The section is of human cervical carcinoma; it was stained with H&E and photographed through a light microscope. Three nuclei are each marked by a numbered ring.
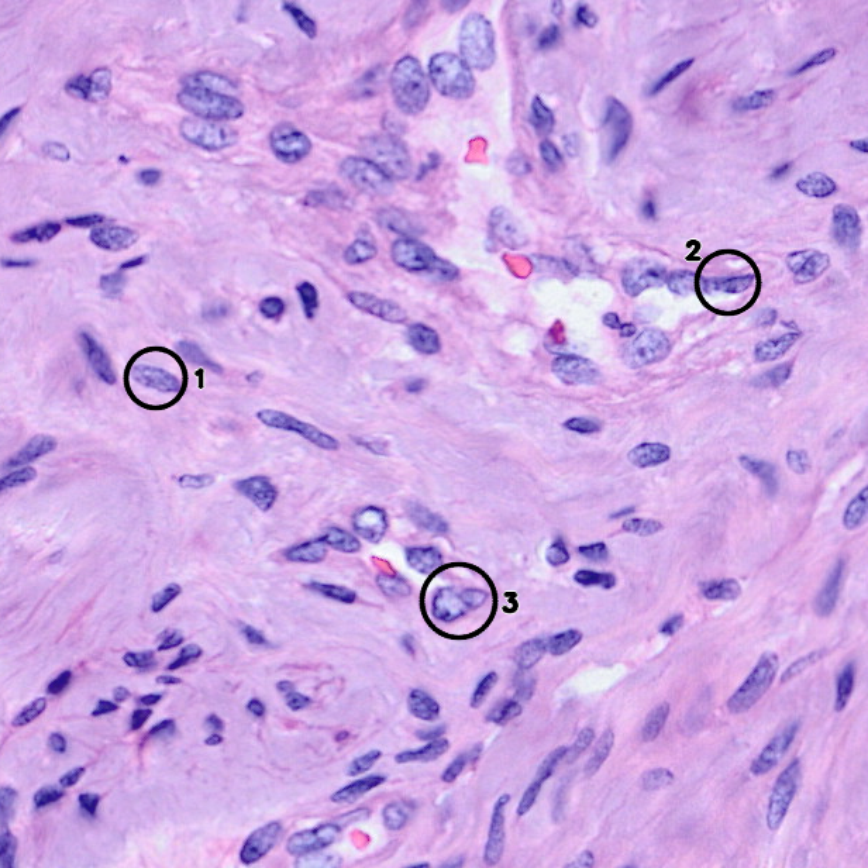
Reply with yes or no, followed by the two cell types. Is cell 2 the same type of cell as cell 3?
Yes, both are endothelial cells.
